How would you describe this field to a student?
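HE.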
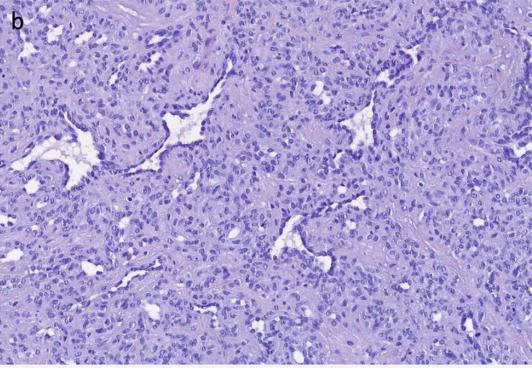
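Scattered through the field are many small, thin-walled vascular spaces, some slit-like and some branching, lined by a flat layer of cells. The tumour cells are arranged in sheets and bundles that press up against and surround these vessels. Between the cells there is a faint pink fibrillary background.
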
